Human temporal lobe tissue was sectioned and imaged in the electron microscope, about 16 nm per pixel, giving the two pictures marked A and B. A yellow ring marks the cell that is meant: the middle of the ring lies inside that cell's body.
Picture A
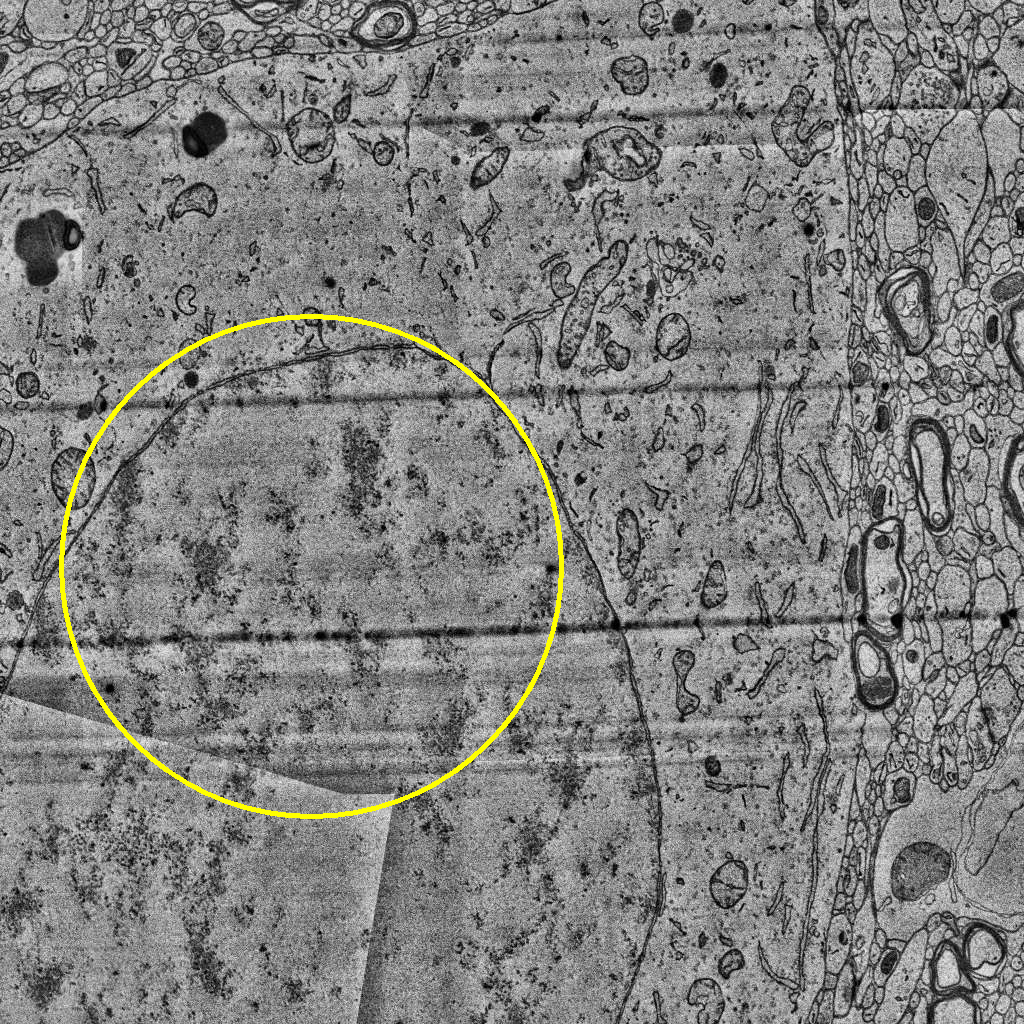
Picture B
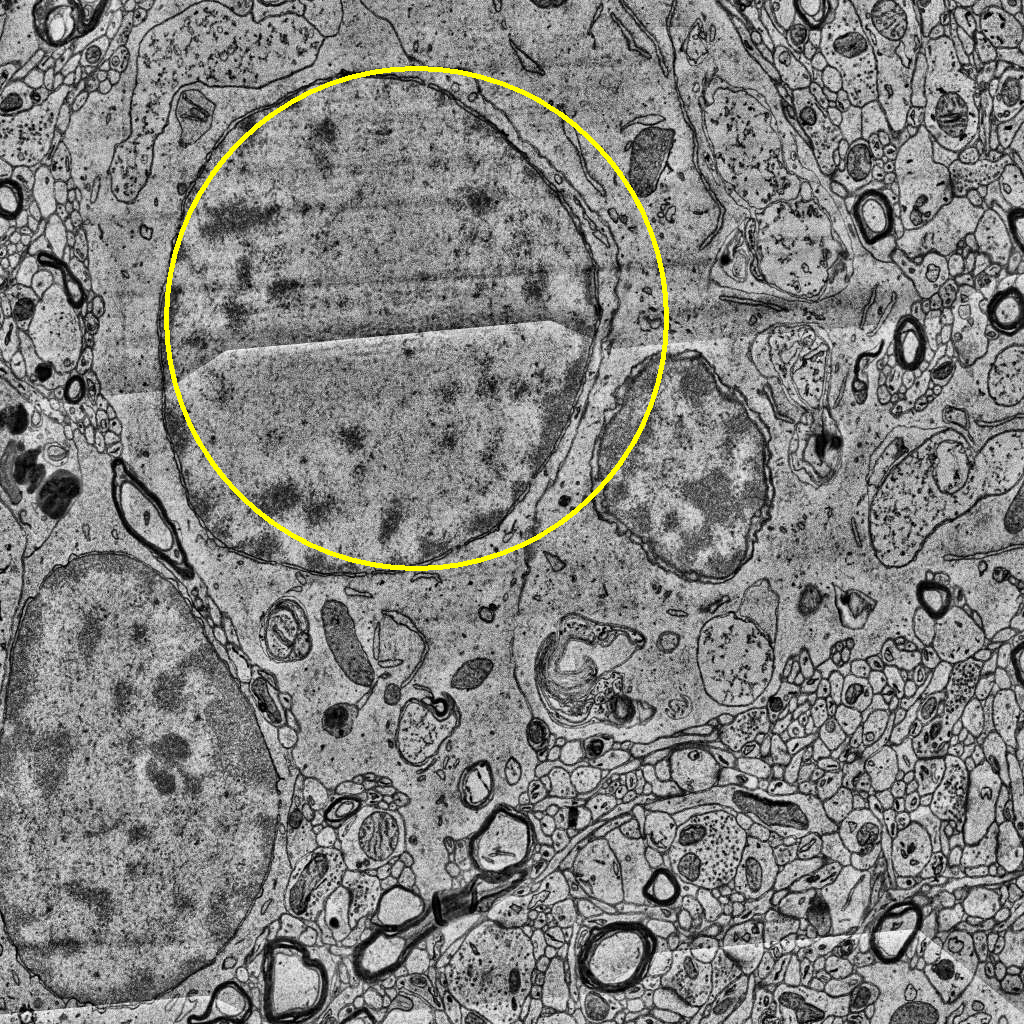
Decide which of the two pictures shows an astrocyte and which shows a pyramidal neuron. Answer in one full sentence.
It is picture A that shows a pyramidal neuron, and picture B that shows an astrocyte.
